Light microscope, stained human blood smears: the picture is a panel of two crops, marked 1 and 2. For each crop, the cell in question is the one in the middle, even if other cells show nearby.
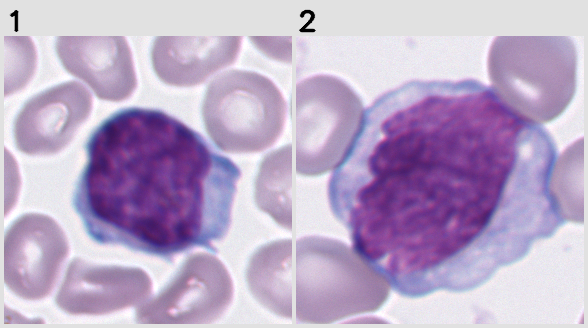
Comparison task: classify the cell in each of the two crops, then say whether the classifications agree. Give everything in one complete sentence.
No, crop 1 contains a blast, while crop 2 contains a monocyte.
